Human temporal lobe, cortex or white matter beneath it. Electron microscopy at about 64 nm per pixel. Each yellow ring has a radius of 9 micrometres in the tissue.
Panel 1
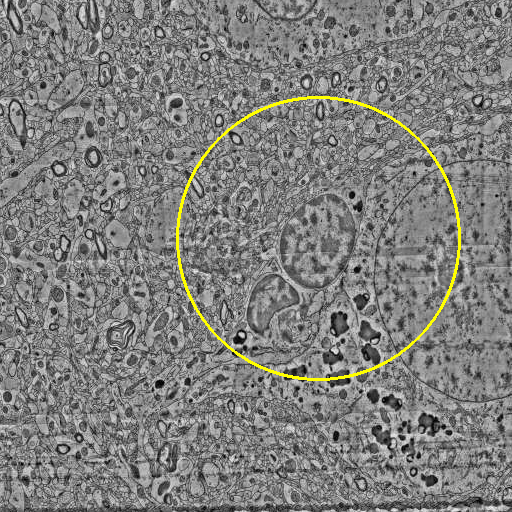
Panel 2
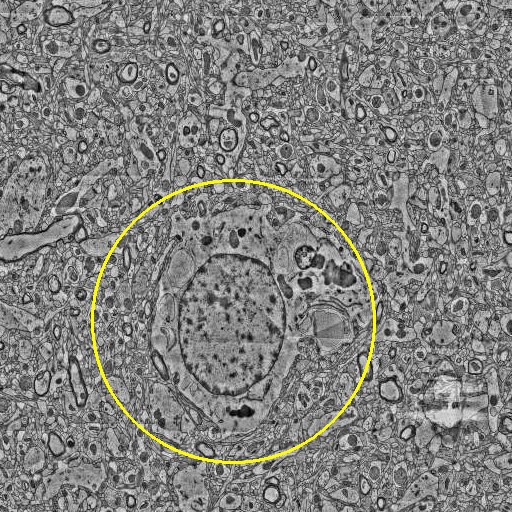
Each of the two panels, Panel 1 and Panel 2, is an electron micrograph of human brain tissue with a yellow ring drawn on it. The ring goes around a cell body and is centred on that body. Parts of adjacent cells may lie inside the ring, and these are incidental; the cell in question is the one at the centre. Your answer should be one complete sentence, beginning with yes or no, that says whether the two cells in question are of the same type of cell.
No, the two cells are of two types.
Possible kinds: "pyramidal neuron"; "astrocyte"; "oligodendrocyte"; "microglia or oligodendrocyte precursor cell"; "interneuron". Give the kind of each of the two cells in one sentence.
The cell in the second picture is an astrocyte, and that in the first is a microglial cell or oligodendrocyte precursor cell.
